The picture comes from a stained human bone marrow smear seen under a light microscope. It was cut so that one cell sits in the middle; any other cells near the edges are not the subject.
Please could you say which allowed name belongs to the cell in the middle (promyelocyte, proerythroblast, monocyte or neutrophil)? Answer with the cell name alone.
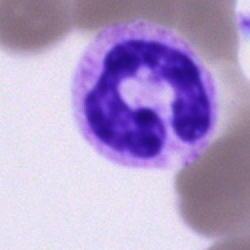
neutrophil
